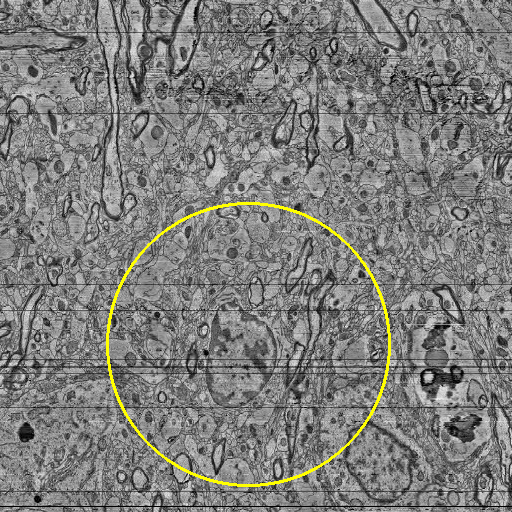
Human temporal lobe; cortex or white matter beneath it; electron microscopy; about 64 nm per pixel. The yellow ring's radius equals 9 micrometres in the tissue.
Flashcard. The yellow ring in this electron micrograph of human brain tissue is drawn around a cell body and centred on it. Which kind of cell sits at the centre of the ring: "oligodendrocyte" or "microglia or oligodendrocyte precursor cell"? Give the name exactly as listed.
microglia or oligodendrocyte precursor cell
